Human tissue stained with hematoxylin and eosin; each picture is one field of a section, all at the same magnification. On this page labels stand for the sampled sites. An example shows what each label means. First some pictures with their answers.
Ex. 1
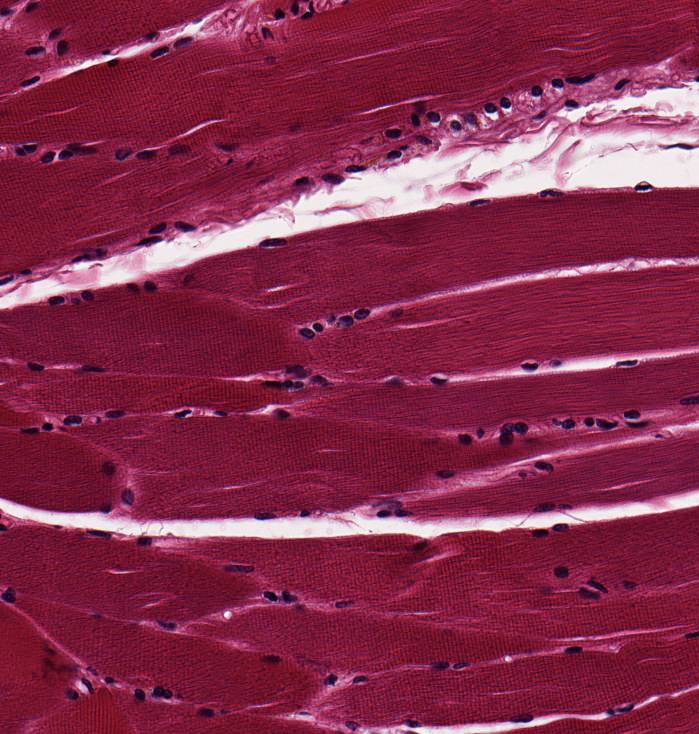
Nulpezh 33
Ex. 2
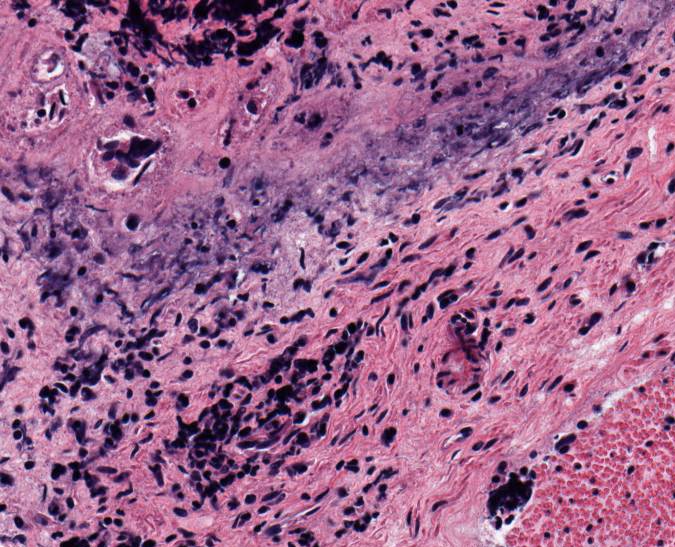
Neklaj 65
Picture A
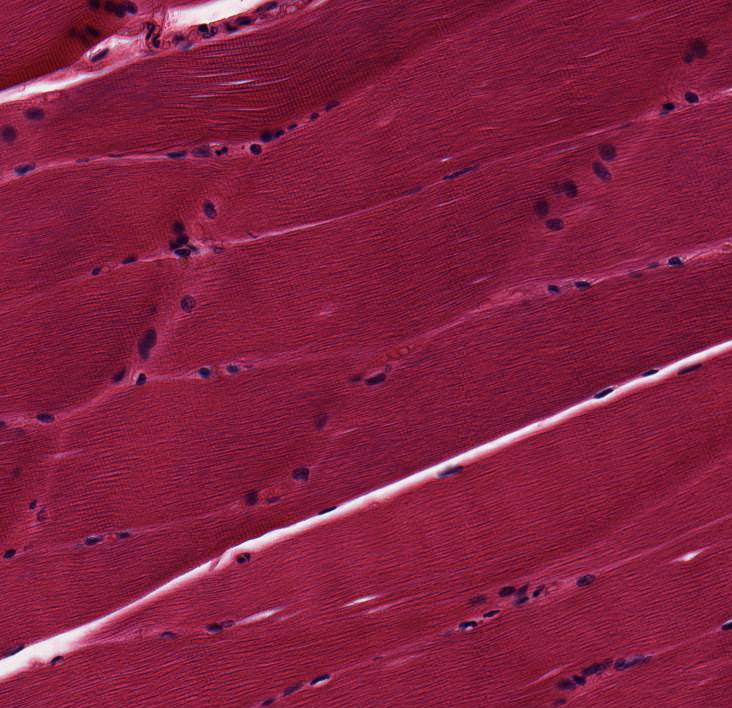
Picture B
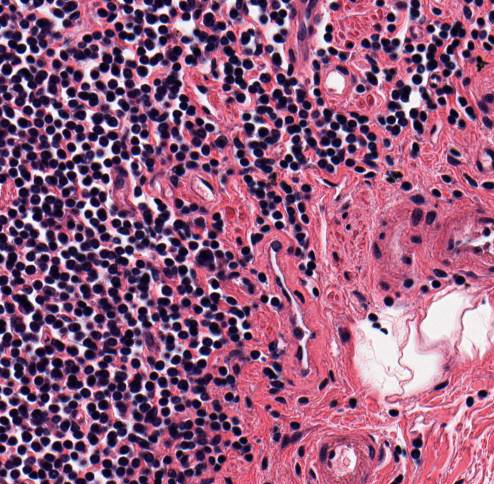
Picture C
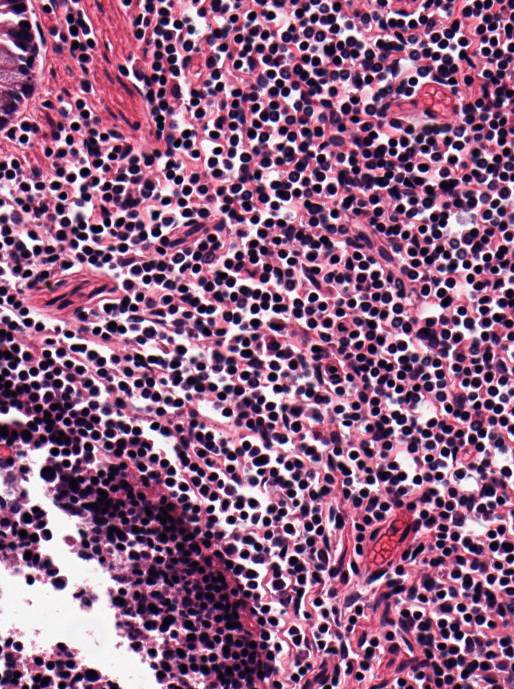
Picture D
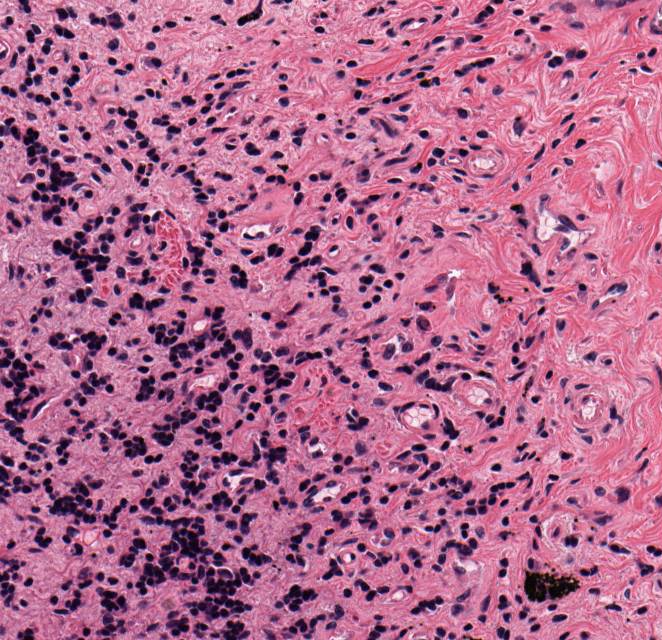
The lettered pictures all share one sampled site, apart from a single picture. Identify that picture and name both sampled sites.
Different: A, Nulpezh 33. Others: Neklaj 65.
